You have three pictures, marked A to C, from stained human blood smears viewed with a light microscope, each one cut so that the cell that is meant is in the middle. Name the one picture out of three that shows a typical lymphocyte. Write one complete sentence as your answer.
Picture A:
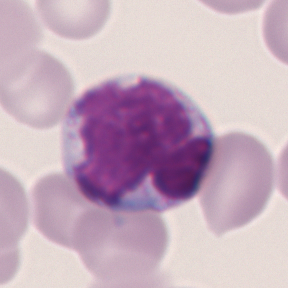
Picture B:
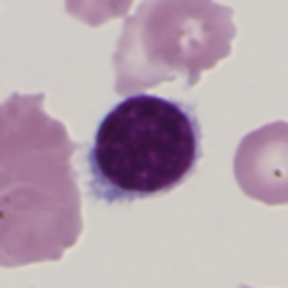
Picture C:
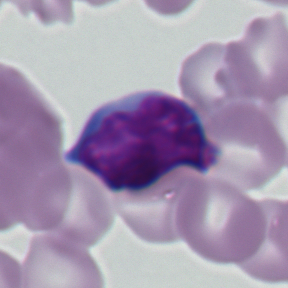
The typical lymphocyte is the one in picture C.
